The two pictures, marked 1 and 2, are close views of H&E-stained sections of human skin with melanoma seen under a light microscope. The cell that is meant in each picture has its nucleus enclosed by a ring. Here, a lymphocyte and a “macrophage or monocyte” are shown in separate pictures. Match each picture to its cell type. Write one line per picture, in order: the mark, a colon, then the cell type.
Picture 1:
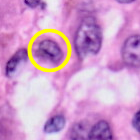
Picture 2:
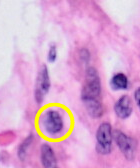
1: macrophage or monocyte
2: lymphocyte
